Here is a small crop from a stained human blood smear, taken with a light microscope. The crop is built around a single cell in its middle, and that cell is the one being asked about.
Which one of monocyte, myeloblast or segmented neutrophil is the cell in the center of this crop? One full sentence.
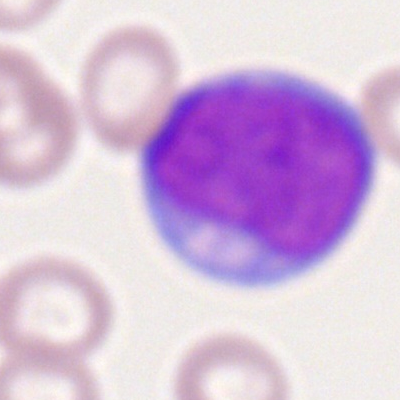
The crop centres on a single cell, and that cell is a myeloblast.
